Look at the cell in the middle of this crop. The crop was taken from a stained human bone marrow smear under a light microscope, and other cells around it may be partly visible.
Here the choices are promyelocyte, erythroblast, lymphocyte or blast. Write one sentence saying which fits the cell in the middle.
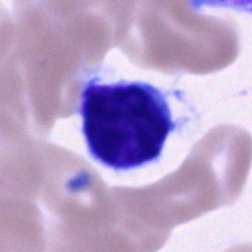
Centred in the crop is a lymphocyte.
